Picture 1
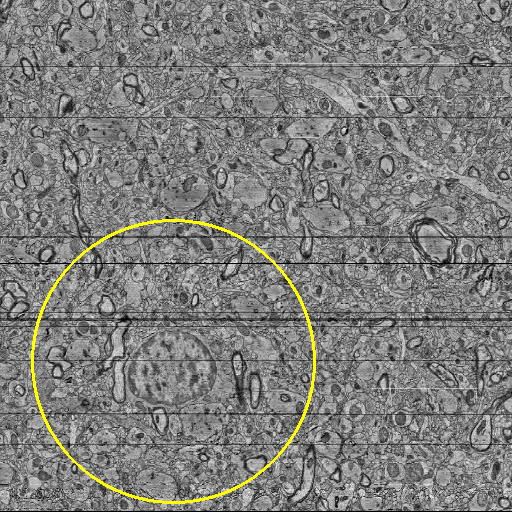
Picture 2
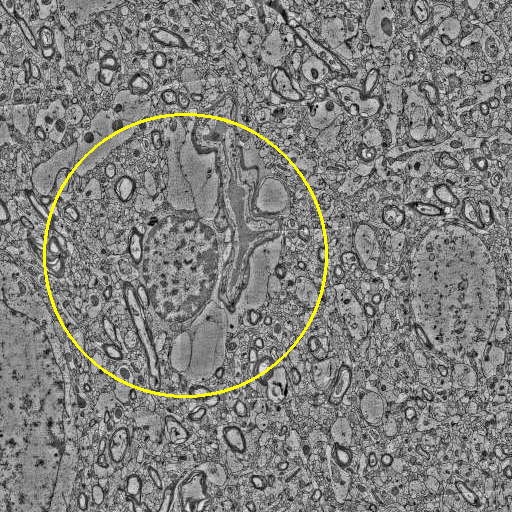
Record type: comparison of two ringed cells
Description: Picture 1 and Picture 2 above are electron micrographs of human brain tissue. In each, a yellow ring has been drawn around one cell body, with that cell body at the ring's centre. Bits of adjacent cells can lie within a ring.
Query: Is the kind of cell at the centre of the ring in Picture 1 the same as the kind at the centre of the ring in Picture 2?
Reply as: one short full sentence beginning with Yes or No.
Yes, the two ringed cells are of the same kind.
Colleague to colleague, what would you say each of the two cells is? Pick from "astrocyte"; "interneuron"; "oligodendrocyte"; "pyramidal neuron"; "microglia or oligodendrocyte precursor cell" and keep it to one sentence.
The cell at the ring centre is an oligodendrocyte in both pictures.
